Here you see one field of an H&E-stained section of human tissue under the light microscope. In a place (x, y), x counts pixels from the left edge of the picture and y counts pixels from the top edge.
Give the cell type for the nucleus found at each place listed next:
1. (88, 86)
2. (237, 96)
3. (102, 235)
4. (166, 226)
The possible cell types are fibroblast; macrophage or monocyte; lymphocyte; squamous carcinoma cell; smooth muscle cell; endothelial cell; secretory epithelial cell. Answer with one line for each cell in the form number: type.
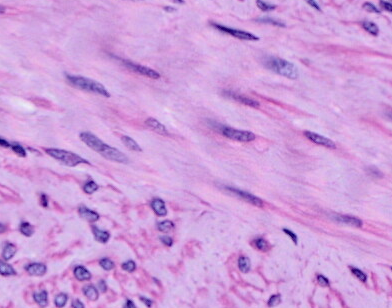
1: fibroblast
2: smooth muscle cell
3: smooth muscle cell
4: smooth muscle cell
